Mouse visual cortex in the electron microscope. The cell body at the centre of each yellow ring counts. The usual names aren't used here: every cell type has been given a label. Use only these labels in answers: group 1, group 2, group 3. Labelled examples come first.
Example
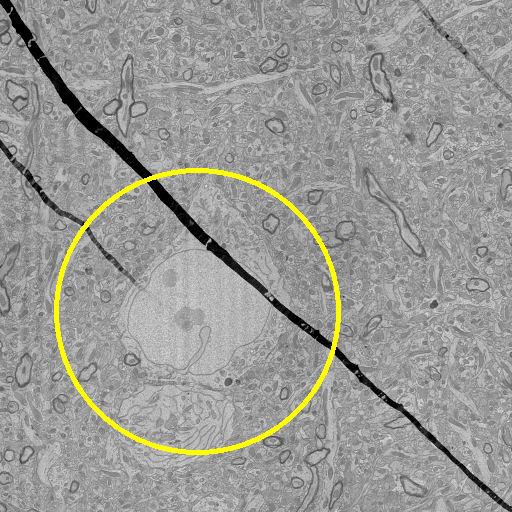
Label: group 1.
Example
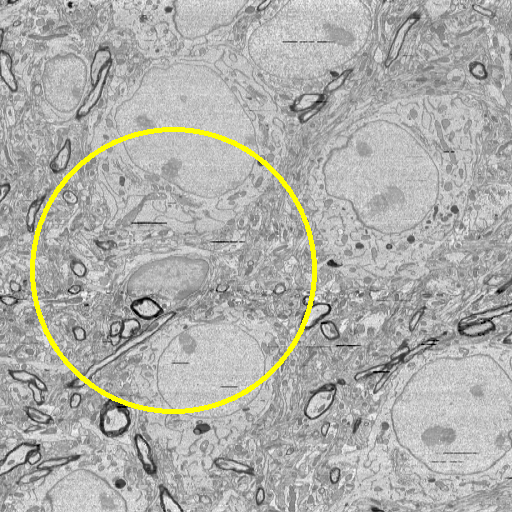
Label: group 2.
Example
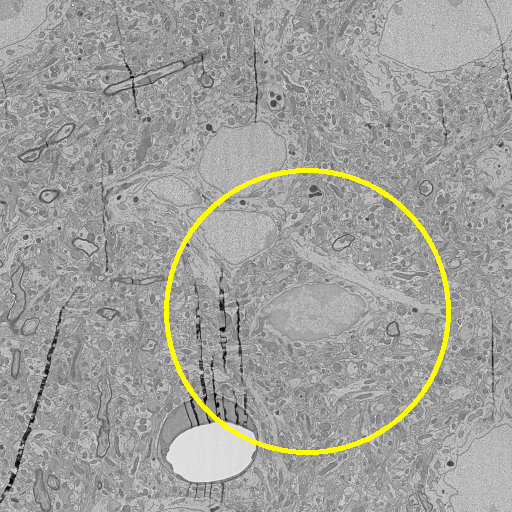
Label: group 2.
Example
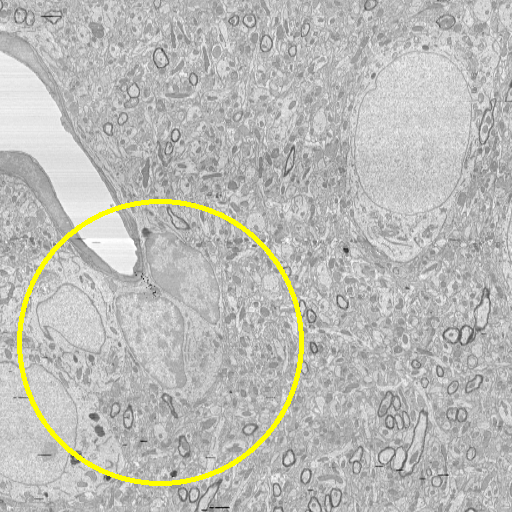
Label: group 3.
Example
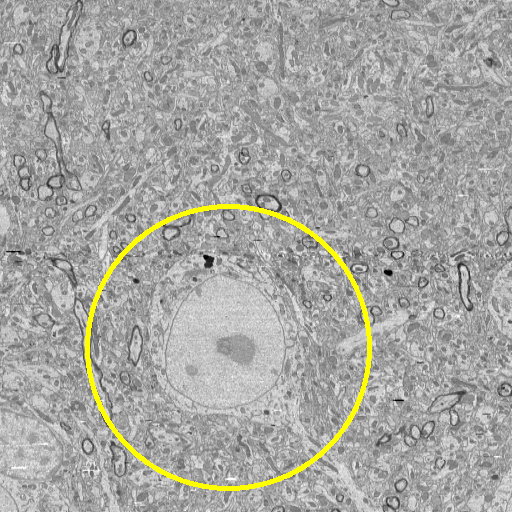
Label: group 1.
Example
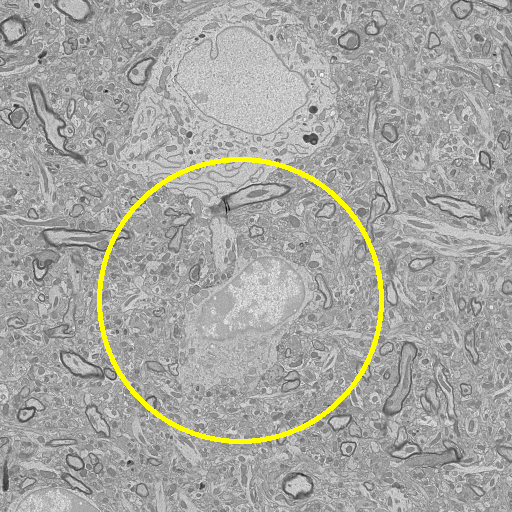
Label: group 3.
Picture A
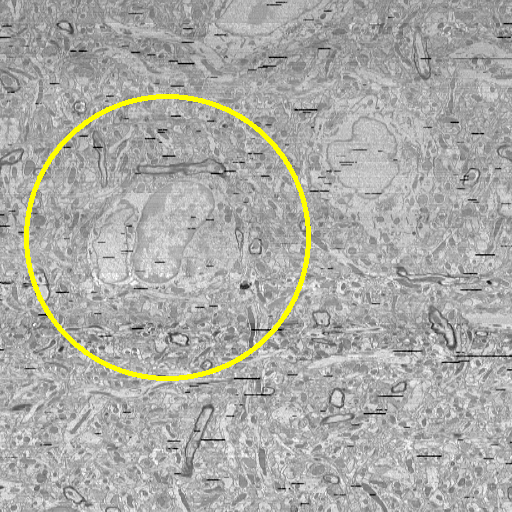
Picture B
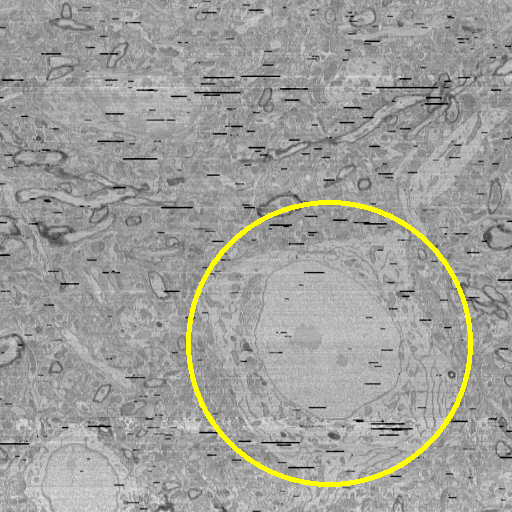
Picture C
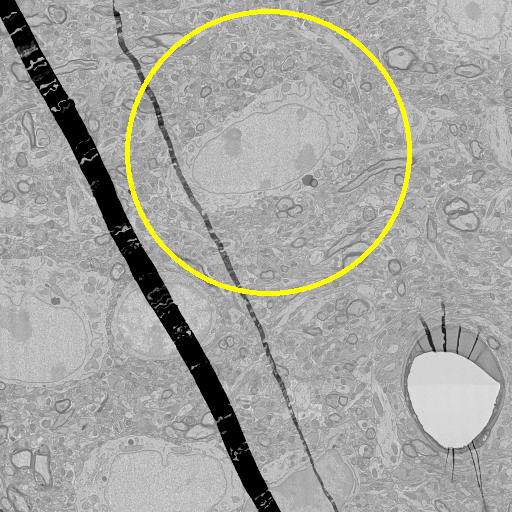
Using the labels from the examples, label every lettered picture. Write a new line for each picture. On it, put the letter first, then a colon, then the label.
A: group 3.
B: group 1.
C: group 1.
